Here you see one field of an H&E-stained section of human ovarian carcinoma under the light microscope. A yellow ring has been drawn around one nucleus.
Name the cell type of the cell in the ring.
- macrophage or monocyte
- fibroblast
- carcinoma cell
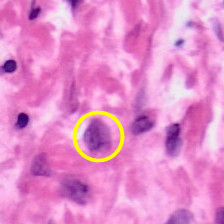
fibroblast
